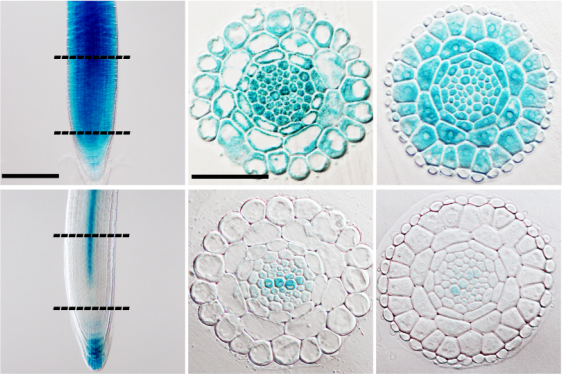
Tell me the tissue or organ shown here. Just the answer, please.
Roots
